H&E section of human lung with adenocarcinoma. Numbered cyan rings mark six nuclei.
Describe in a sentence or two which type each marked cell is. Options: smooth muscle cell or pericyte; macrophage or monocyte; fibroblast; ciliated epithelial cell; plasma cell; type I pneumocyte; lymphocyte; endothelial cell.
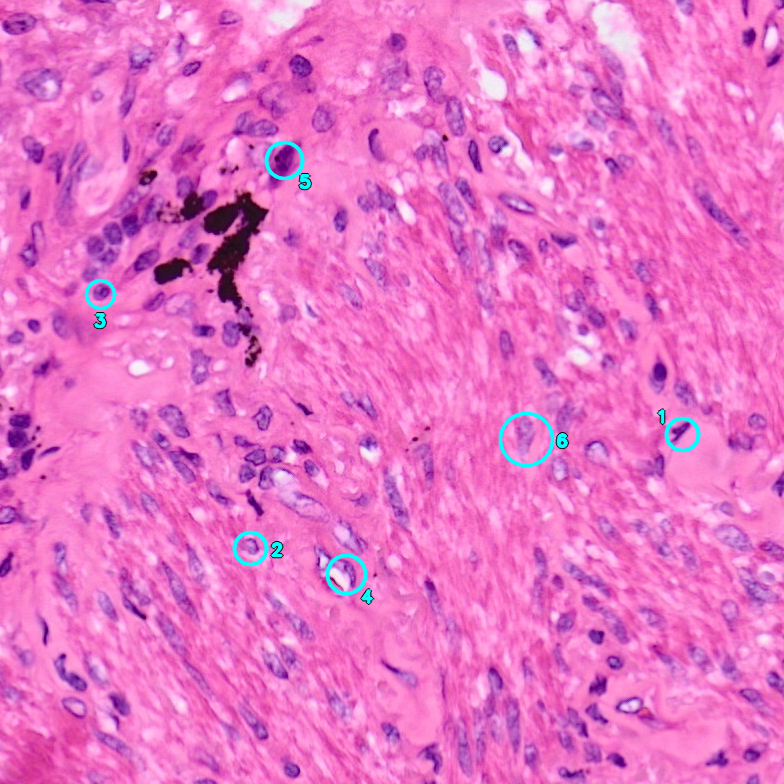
Cell 1 is a fibroblast, cell 2 is a smooth muscle cell or pericyte, cell 3 is a lymphocyte, cell 4 is an endothelial cell, cell 5 is a plasma cell and cell 6 is a smooth muscle cell or pericyte.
